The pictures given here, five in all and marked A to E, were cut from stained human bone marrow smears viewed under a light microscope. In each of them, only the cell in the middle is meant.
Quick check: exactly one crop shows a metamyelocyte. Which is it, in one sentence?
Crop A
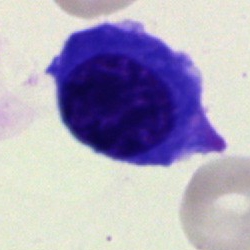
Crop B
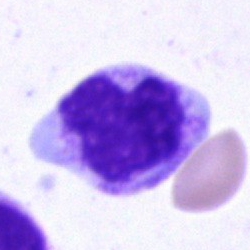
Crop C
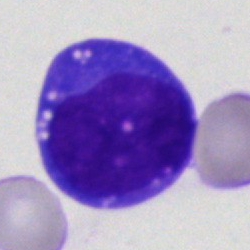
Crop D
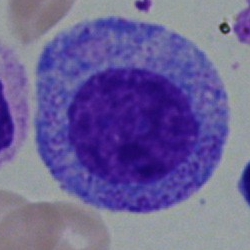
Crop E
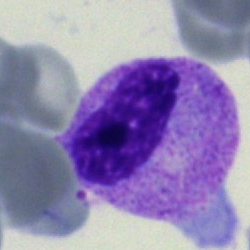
Identified crop: E, the one that shows a metamyelocyte.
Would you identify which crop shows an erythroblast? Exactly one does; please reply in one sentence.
The cell identified as an erythroblast is the one in crop A.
